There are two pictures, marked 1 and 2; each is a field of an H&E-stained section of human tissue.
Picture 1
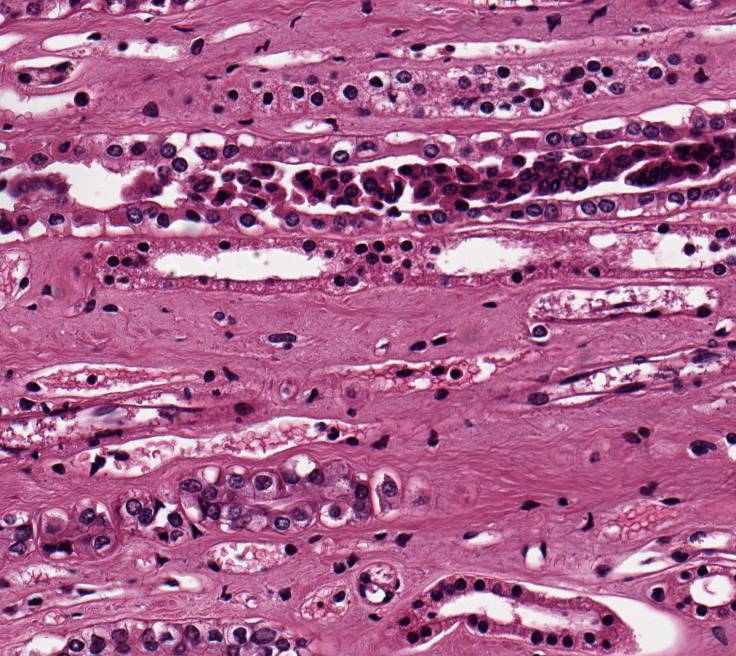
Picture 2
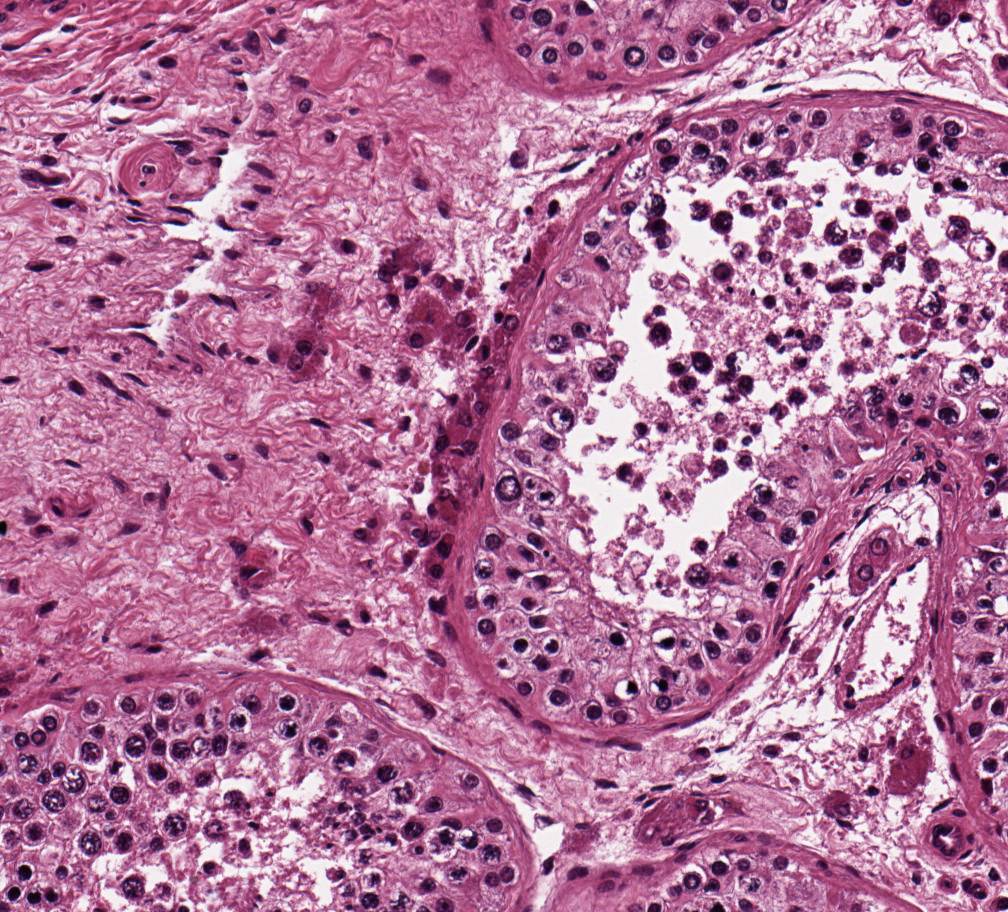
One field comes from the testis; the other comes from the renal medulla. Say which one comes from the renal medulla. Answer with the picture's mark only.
1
